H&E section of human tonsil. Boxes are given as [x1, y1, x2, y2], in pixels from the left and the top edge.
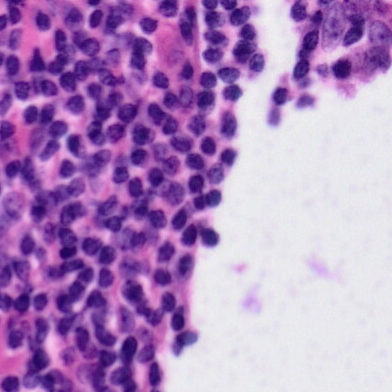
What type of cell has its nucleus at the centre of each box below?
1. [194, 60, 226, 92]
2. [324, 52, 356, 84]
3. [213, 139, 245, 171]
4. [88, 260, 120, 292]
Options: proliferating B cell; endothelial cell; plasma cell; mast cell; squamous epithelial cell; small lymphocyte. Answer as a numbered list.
1. small lymphocyte
2. proliferating B cell
3. small lymphocyte
4. small lymphocyte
